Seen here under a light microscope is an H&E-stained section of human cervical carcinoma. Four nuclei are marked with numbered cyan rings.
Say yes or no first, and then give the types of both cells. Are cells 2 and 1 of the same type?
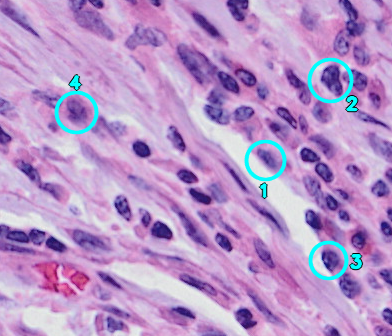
Yes, of the numbered cells, 2 and 1 are both lymphocytes.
